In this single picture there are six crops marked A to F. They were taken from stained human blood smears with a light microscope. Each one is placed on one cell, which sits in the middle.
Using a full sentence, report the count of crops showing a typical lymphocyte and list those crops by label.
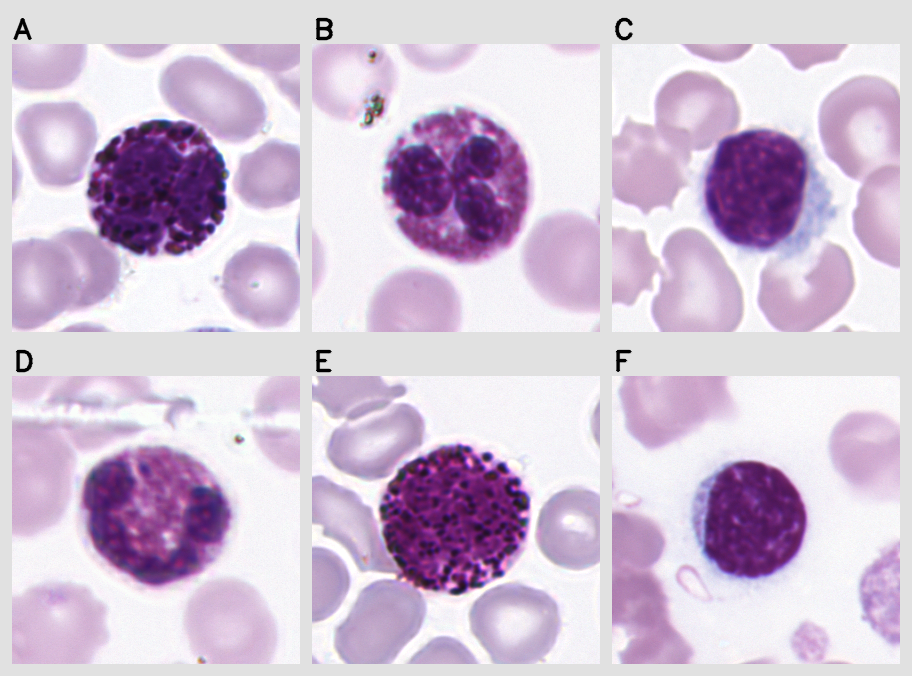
Only one crop shows a typical lymphocyte, and that is crop F.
